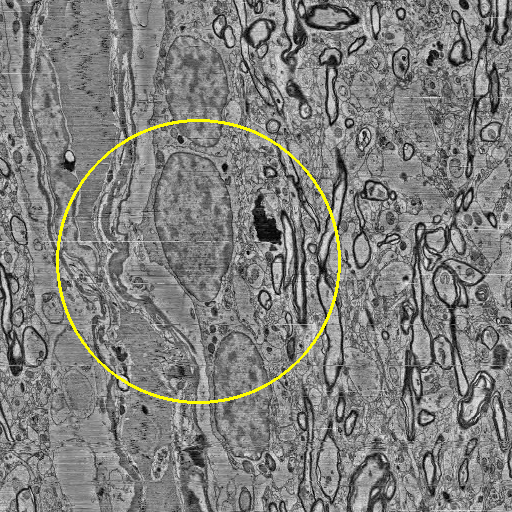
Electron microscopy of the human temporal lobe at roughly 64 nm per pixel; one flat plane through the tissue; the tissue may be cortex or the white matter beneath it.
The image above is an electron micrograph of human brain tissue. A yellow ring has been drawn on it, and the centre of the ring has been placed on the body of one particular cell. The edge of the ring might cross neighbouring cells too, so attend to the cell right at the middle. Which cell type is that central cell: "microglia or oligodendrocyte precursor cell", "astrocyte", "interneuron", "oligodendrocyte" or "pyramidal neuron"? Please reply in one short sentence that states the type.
The central cell in the ring is an oligodendrocyte.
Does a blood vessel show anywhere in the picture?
Yes, a blood vessel can be seen.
